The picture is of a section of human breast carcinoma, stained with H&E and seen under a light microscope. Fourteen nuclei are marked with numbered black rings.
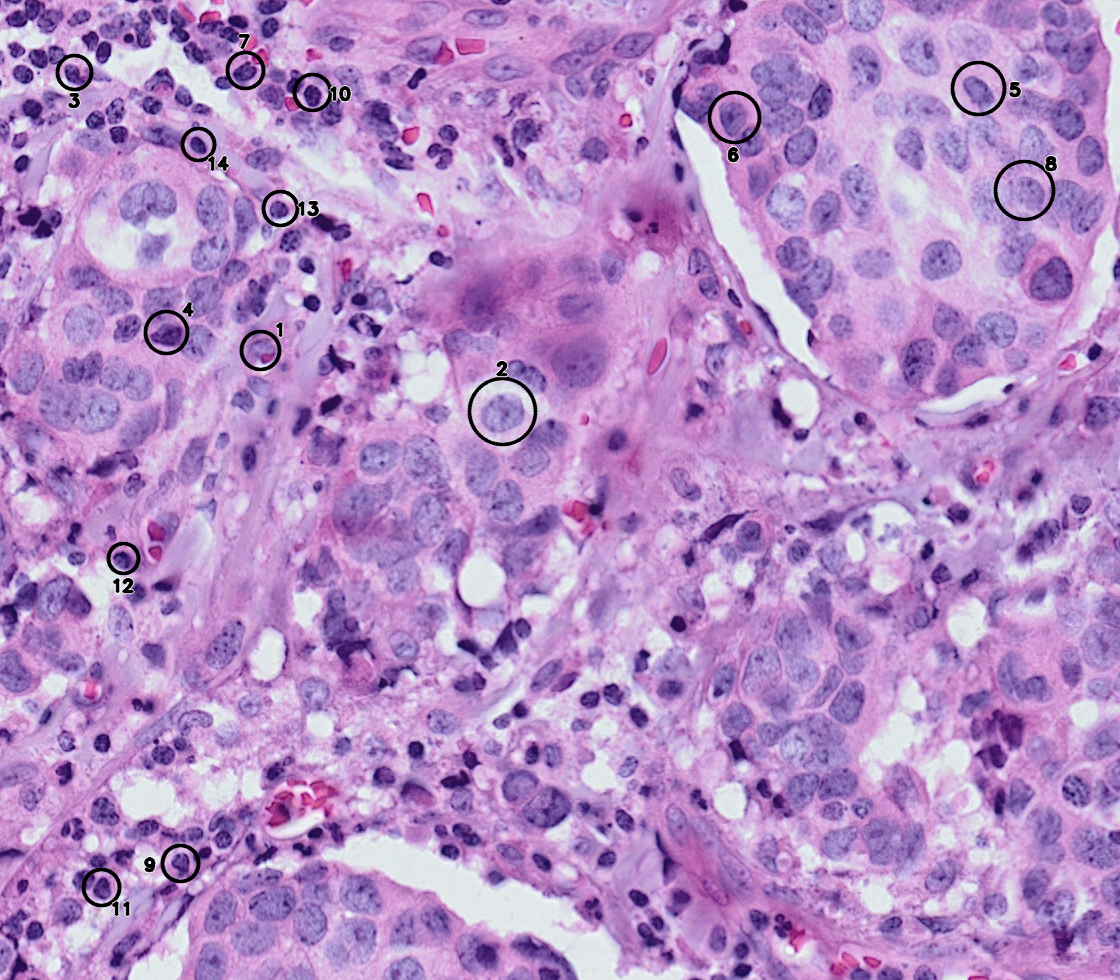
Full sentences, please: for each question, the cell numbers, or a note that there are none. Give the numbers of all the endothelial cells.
Only the cell numbered 1 qualifies as an endothelial cell among the marked cells.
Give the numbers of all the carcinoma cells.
The cells with the numbers 2, 4, 5, 6 and 8 are carcinoma cells.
